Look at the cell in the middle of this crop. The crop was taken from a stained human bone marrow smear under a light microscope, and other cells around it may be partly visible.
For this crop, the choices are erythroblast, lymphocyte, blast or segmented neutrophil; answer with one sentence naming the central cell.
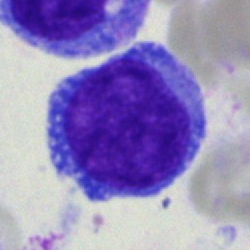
The cell of interest, in the center, is a blast.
